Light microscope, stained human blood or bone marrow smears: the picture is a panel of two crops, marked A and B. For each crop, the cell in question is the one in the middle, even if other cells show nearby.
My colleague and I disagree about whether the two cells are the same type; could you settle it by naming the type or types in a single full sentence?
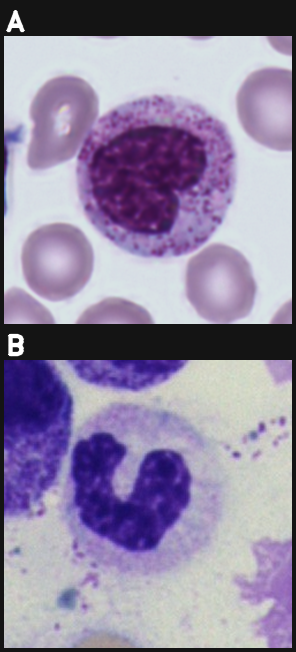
Yes, in the middle of both crops lie band neutrophils.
